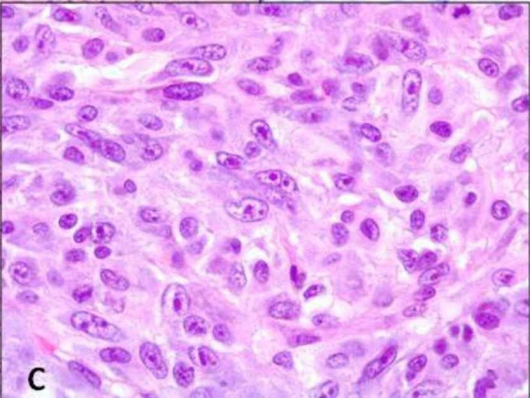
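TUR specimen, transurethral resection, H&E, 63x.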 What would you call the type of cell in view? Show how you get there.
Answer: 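Cells are somewhat elongated with tapering outlines. Nuclei are oval with open chromatin and small nucleoli.
Answer: slightly spindled cells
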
